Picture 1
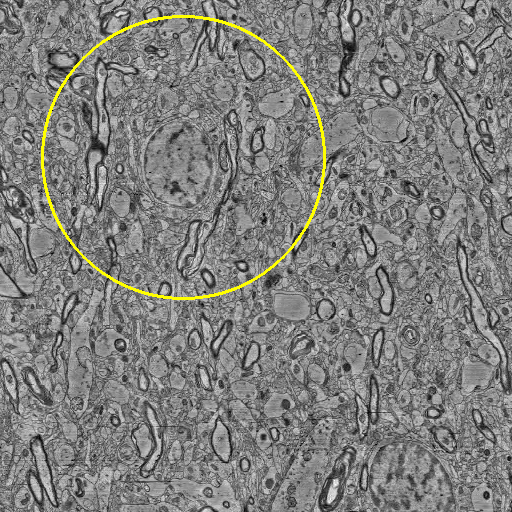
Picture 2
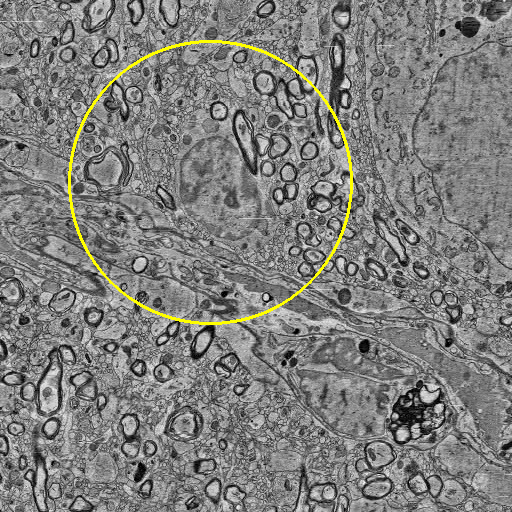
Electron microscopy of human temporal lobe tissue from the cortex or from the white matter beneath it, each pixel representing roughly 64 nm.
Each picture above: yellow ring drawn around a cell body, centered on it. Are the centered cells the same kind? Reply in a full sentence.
No, the two cells are two kinds of cell.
